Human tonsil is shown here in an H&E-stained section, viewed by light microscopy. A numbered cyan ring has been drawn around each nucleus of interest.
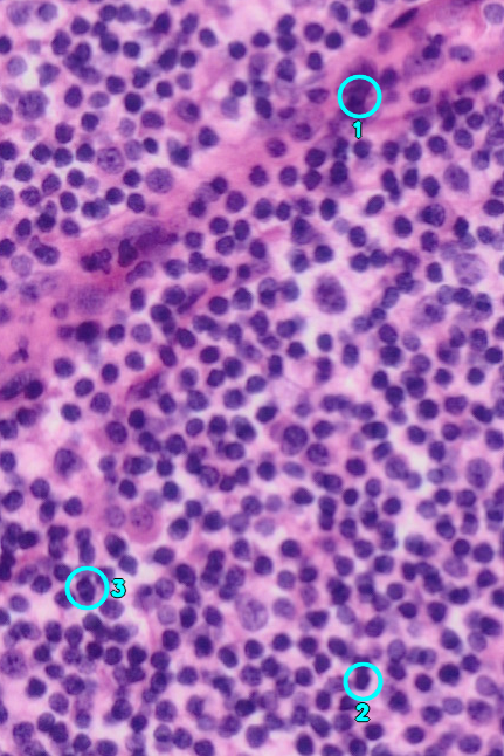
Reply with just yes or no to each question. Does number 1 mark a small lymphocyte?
no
